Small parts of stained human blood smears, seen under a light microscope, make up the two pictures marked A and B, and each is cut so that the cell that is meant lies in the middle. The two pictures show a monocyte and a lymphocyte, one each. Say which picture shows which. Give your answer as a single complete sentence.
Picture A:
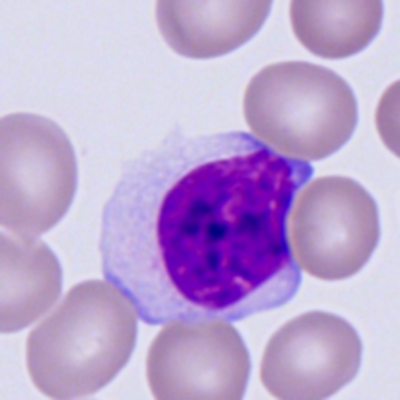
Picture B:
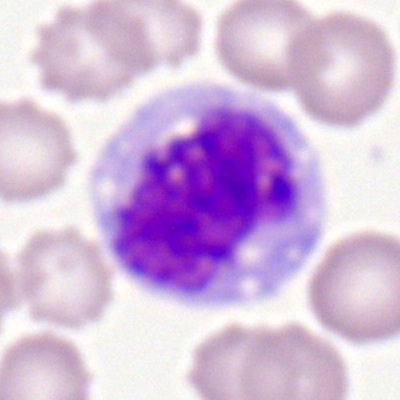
Picture B shows a monocyte, while picture A shows a lymphocyte.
